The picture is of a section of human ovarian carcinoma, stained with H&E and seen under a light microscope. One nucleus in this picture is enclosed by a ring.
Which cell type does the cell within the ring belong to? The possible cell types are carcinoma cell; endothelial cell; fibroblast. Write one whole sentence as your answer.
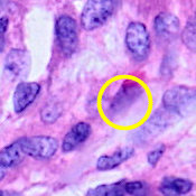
Students should answer that the cell within the ring is an endothelial cell.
